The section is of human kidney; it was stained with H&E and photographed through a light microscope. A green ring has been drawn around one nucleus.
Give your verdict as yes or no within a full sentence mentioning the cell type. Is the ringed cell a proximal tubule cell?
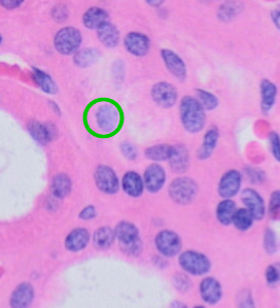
No, a proximal tubule cell is not what the ringed cell is; it is a collecting duct cell.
